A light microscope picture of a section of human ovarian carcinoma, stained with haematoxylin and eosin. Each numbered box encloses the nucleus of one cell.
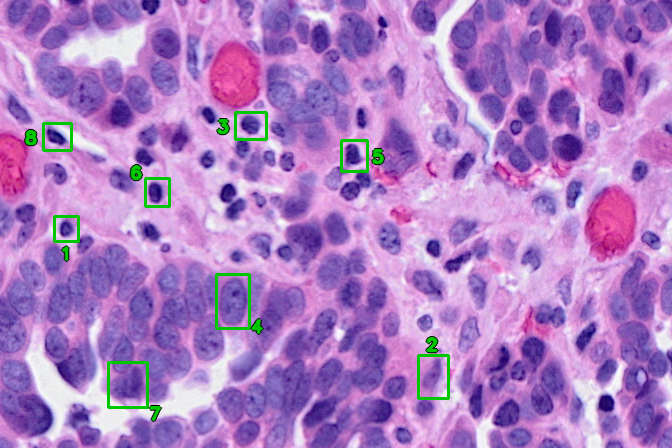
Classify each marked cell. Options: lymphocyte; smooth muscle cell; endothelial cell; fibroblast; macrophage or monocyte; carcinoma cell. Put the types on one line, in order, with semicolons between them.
lymphocyte; fibroblast; lymphocyte; carcinoma cell; lymphocyte; lymphocyte; carcinoma cell; lymphocyte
